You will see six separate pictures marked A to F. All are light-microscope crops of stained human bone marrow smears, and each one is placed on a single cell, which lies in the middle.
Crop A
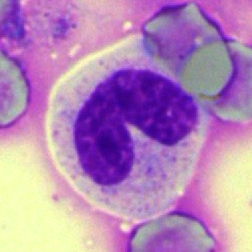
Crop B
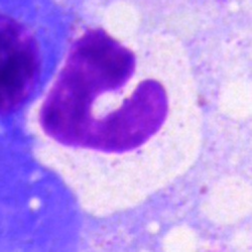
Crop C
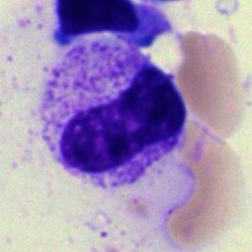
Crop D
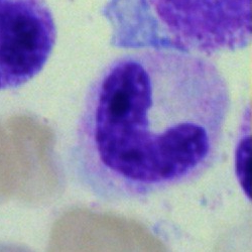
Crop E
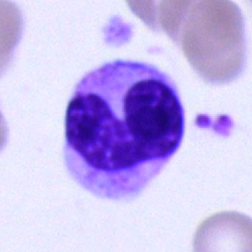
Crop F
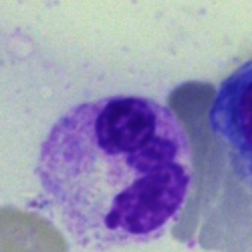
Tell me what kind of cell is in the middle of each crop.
A: band neutrophil
B: band neutrophil
C: band neutrophil
D: band neutrophil
E: band neutrophil
F: segmented neutrophil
